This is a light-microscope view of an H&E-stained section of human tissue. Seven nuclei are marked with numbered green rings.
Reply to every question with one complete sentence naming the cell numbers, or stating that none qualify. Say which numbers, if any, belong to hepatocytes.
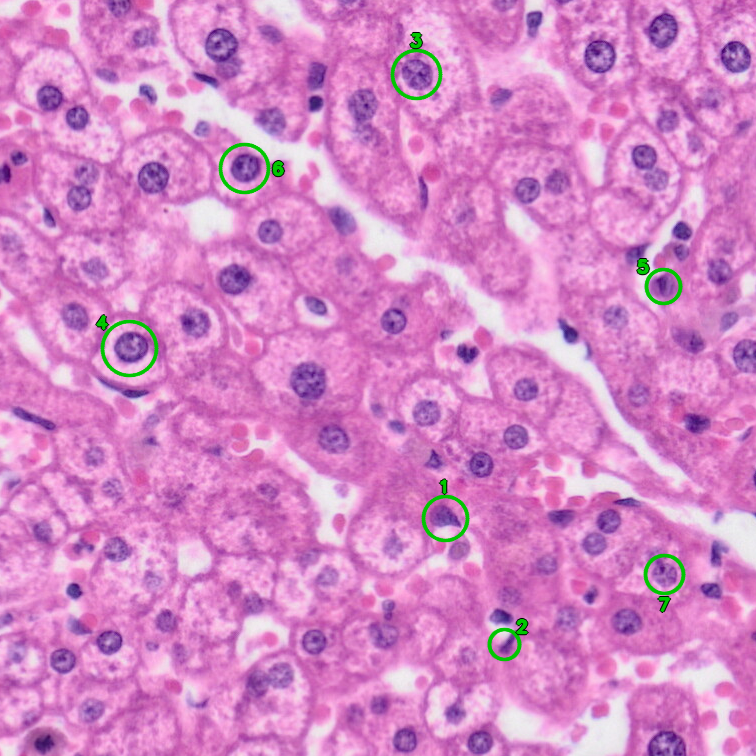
The cells labelled 3, 4, 6 and 7 in this section are hepatocytes.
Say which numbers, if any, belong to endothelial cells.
The cells referred to by the numbers 1 and 2 are endothelial cells.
